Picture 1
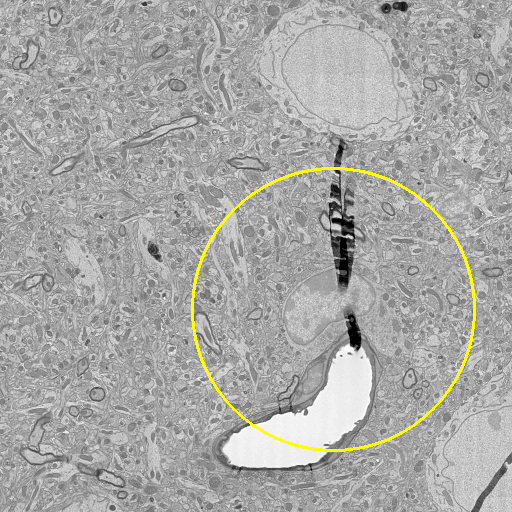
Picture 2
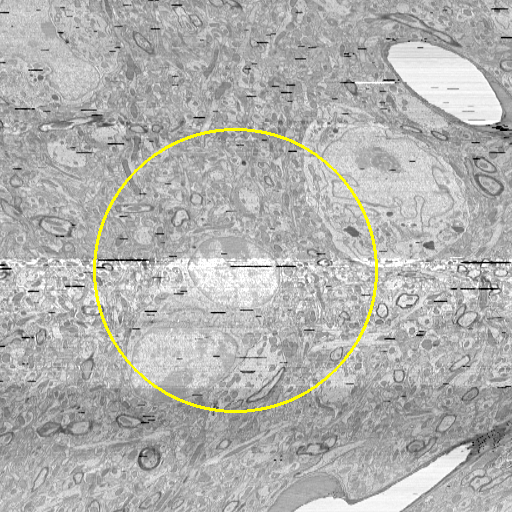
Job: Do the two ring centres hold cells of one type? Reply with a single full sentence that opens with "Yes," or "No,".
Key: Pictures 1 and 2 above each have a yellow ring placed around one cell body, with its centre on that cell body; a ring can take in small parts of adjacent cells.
Yes, the cells at the two ring centres are of one single type.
